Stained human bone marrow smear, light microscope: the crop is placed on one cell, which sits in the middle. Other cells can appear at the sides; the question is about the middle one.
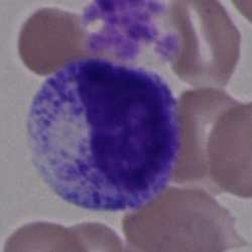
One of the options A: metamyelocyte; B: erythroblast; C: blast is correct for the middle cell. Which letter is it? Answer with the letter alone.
A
